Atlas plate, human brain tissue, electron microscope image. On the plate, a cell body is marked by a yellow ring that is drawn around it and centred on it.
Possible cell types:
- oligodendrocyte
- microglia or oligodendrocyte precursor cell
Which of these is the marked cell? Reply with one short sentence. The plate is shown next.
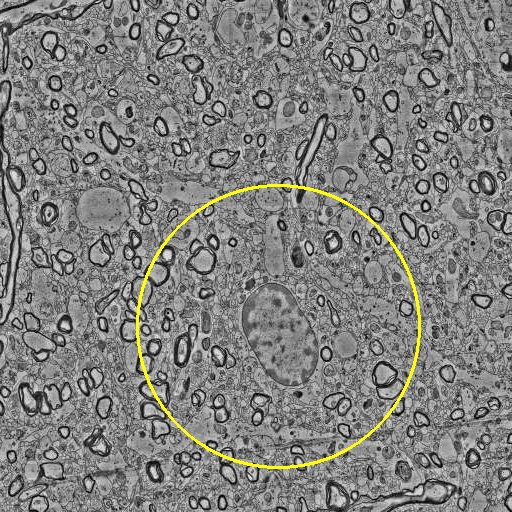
The marked cell is a microglial cell or oligodendrocyte precursor cell.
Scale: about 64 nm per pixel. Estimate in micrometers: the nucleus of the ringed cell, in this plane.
At approximately 7 by 4 micrometres, the nucleus is clearly longer than it is wide in this plane.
